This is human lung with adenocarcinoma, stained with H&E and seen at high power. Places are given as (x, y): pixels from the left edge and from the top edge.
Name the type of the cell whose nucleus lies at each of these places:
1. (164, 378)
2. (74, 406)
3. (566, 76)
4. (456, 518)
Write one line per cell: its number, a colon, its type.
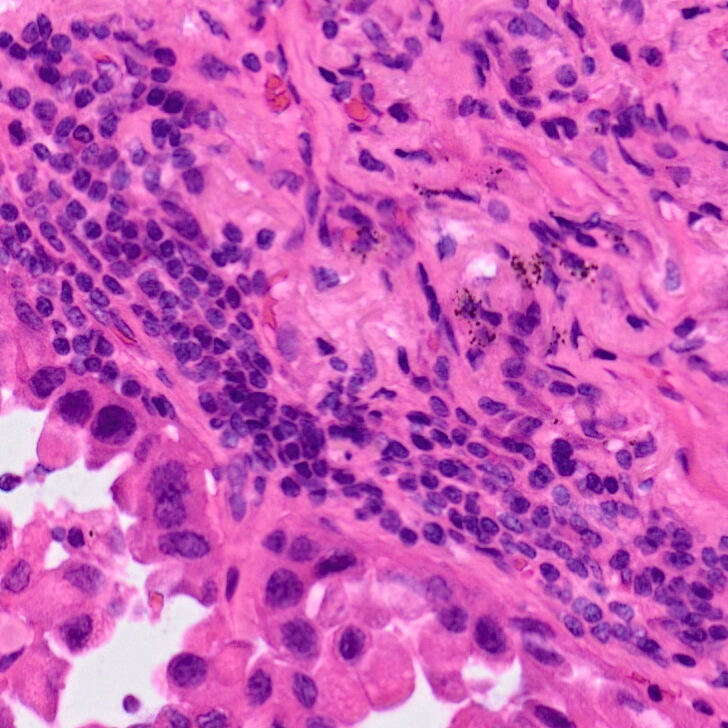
1: lymphocyte
2: carcinoma cell
3: lymphocyte
4: lymphocyte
